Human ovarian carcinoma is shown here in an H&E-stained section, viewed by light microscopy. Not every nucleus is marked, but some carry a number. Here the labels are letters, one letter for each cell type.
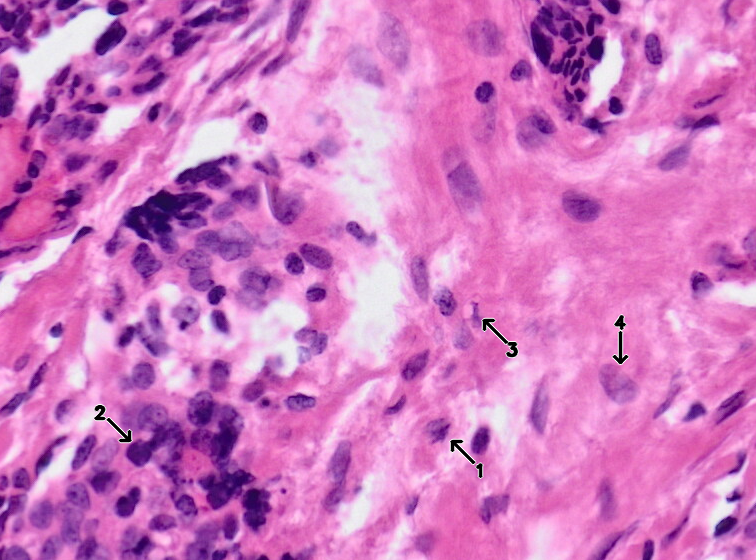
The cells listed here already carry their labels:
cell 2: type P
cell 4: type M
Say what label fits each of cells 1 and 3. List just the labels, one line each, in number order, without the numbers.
type M
type M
